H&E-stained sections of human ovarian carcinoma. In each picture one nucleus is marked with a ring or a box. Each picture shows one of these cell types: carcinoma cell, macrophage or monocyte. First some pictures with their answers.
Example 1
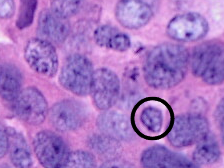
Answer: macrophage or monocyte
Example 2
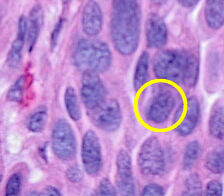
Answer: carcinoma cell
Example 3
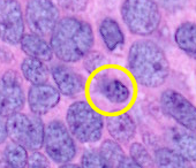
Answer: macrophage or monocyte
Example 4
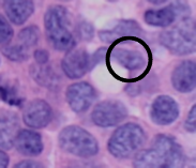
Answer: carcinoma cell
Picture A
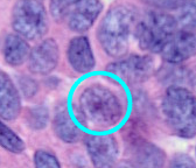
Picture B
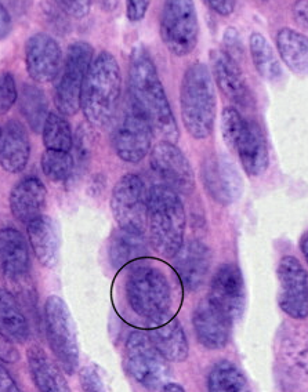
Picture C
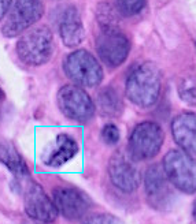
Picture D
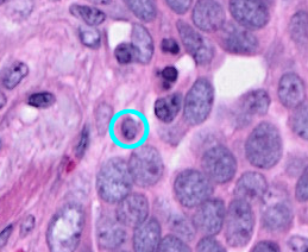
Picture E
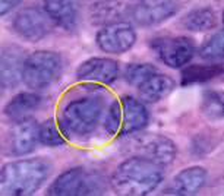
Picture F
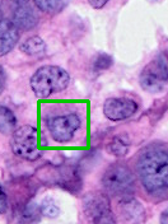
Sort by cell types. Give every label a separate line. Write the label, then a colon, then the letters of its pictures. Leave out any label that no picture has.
carcinoma cell: A, B, E
macrophage or monocyte: C, D, F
